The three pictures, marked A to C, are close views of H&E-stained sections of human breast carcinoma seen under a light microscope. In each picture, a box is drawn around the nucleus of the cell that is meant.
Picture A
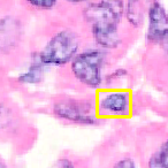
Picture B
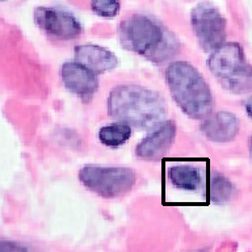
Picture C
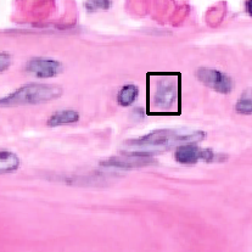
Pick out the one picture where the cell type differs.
B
